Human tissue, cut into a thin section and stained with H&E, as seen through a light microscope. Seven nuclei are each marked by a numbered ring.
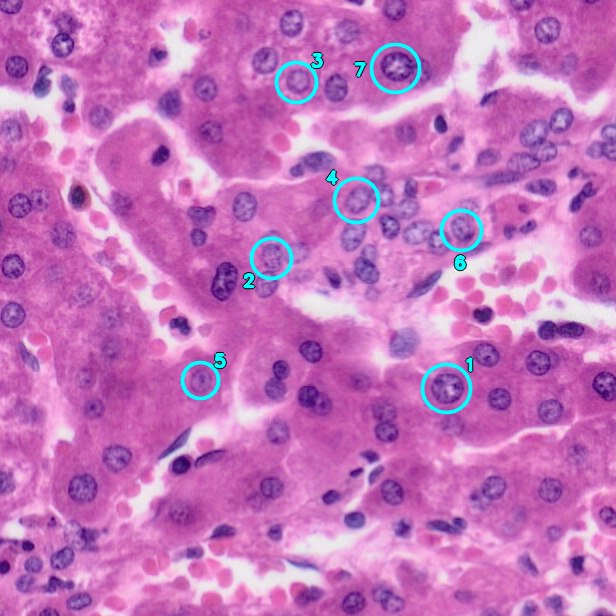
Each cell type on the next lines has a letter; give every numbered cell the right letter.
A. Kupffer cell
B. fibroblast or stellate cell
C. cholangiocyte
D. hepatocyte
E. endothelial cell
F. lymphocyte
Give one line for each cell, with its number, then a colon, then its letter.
1: D
2: C
3: D
4: C
5: D
6: C
7: D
